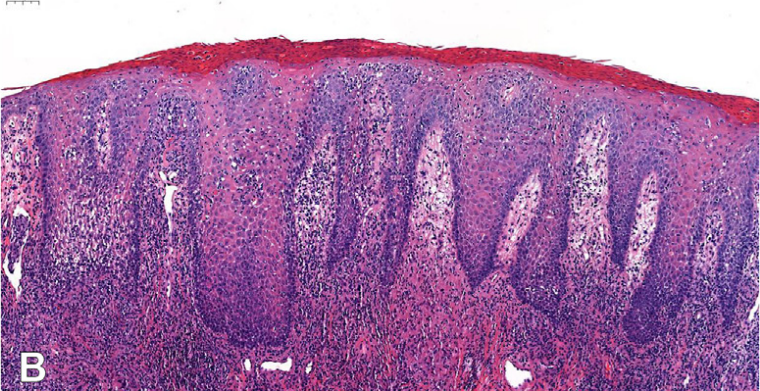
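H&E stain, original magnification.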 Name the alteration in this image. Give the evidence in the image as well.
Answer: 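The epidermis is markedly thickened. Rete ridges are elongated and extend deep into the dermis. That points to this answer: epidermal acanthosis.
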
